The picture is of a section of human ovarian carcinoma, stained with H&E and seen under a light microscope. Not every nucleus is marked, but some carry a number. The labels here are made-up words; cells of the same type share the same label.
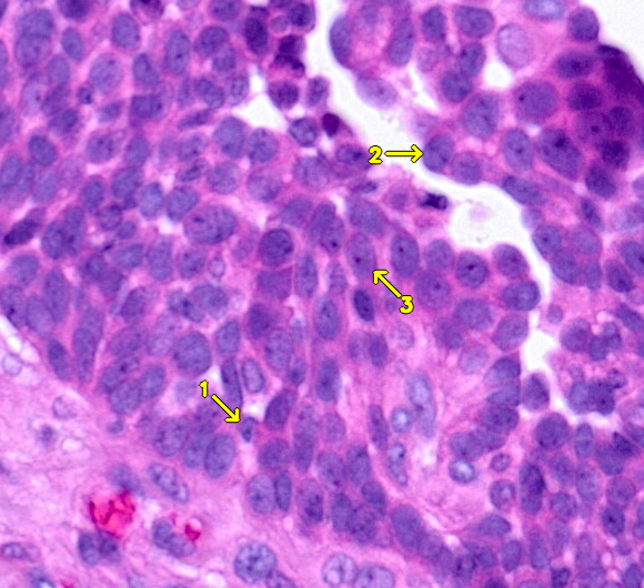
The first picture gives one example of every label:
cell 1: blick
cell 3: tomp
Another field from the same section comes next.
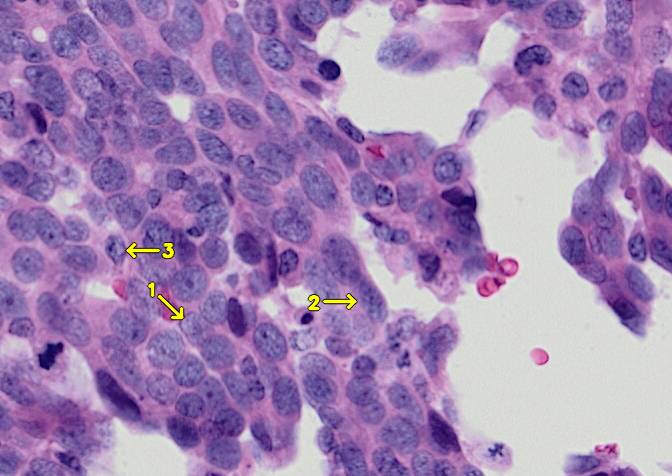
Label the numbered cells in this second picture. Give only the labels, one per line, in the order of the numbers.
tomp
tomp
blick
